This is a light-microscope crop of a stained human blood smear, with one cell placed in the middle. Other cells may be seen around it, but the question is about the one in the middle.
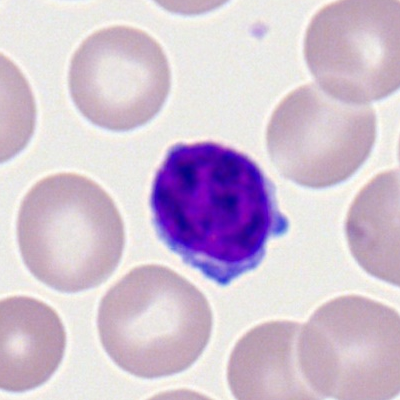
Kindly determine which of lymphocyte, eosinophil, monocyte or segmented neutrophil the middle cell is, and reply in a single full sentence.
Centrally within this crop lies a lymphocyte.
